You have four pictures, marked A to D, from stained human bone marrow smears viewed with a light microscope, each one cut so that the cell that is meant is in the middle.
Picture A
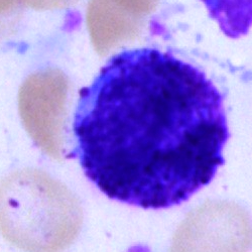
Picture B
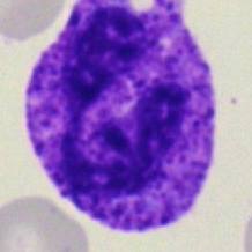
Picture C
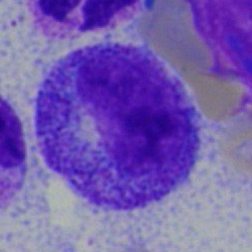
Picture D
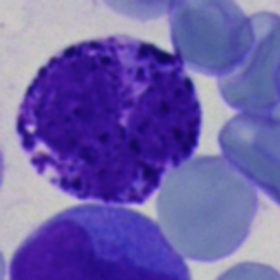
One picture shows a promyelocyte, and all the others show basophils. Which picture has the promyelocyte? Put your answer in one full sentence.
The cell in picture C is the promyelocyte.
